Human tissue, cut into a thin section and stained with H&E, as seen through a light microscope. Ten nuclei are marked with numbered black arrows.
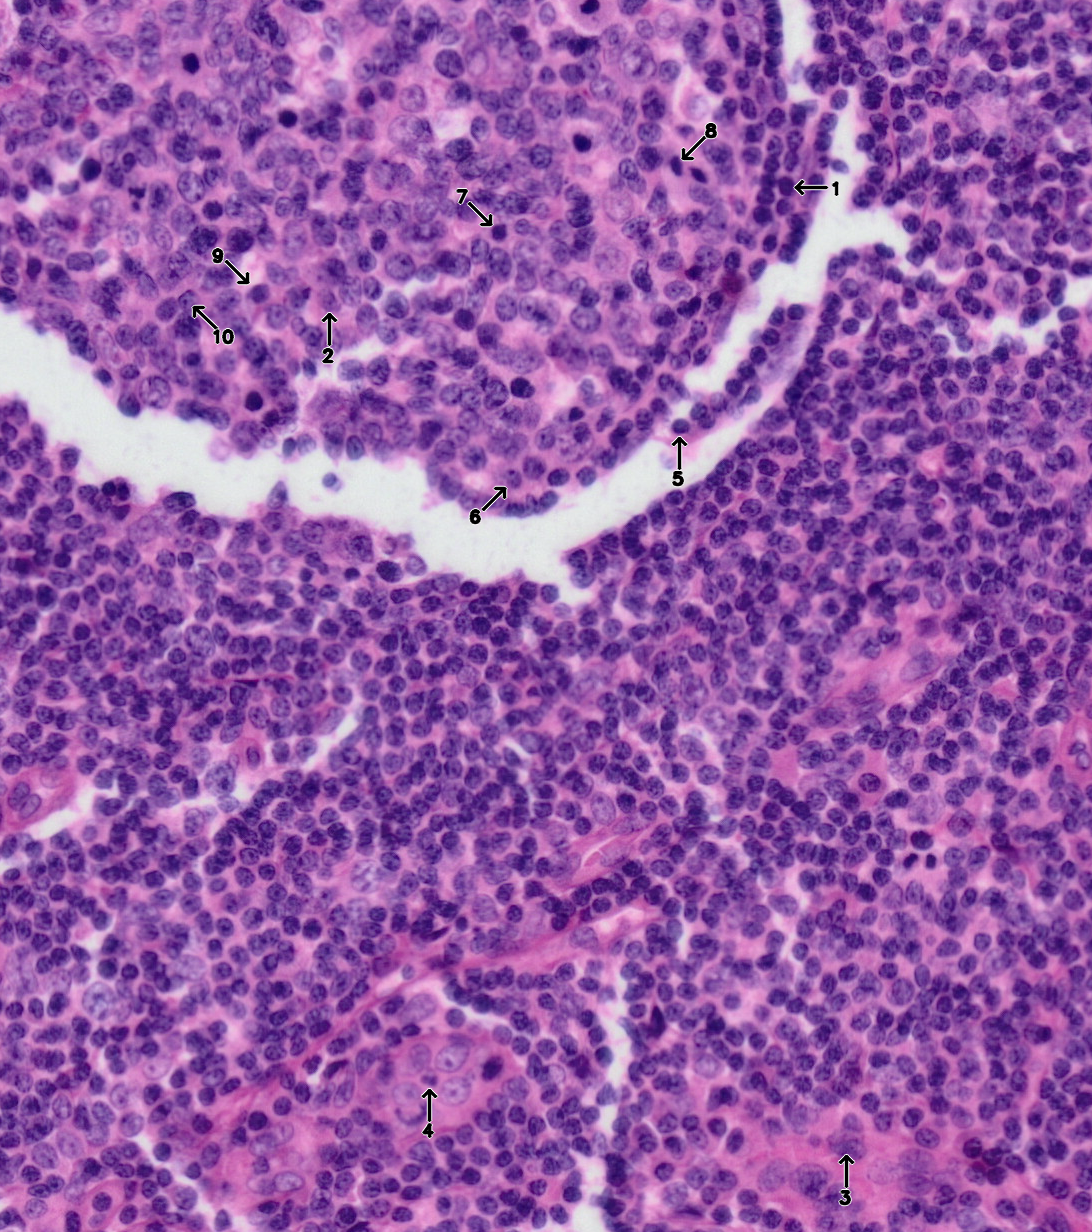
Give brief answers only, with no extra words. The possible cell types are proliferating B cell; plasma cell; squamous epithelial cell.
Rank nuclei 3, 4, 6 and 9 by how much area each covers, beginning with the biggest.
3, 9, 6, 4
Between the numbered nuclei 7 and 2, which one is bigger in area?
2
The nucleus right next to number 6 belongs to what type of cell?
proliferating B cell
